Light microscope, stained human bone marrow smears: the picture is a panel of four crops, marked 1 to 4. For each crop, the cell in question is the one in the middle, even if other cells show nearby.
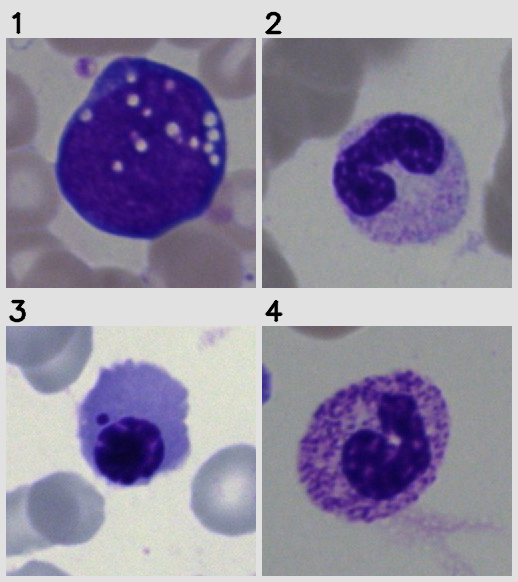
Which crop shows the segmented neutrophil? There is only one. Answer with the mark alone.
4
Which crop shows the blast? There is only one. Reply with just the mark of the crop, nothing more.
1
